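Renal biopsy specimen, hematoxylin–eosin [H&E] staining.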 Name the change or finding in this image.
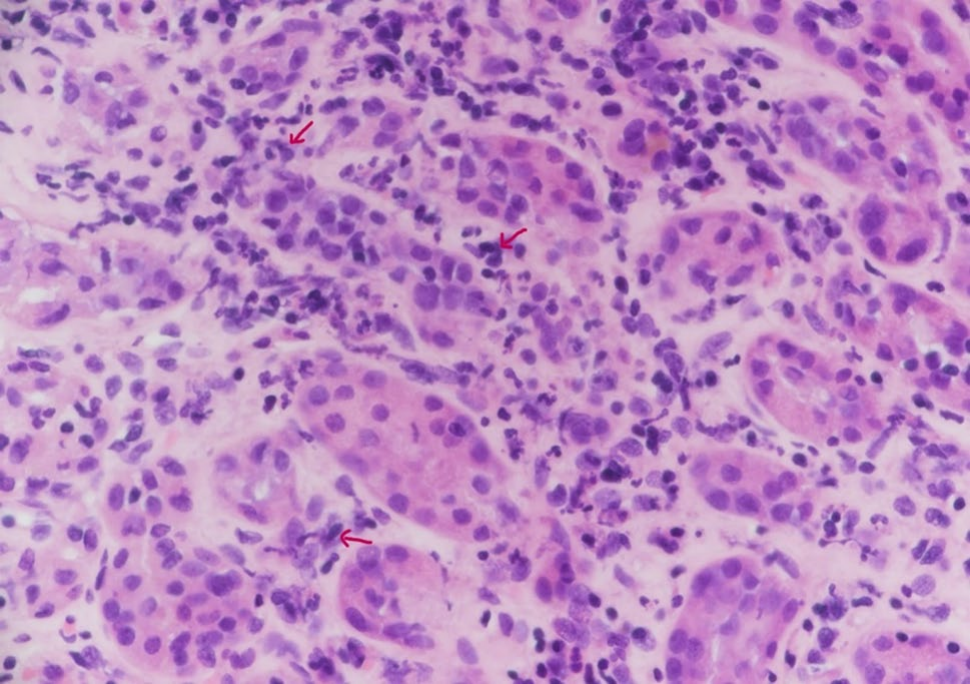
Interstitial inflammation.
